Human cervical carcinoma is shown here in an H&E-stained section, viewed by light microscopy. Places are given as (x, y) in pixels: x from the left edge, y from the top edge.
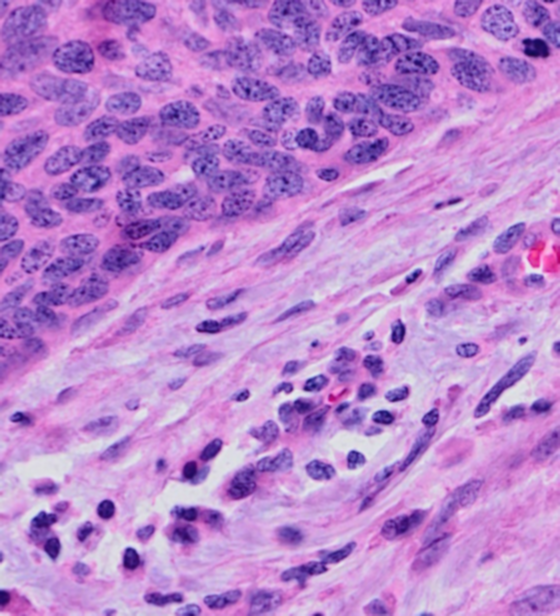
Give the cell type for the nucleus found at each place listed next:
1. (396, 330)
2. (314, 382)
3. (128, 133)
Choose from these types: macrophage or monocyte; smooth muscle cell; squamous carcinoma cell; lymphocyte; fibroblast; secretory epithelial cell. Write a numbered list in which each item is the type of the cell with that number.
1. lymphocyte
2. lymphocyte
3. squamous carcinoma cell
